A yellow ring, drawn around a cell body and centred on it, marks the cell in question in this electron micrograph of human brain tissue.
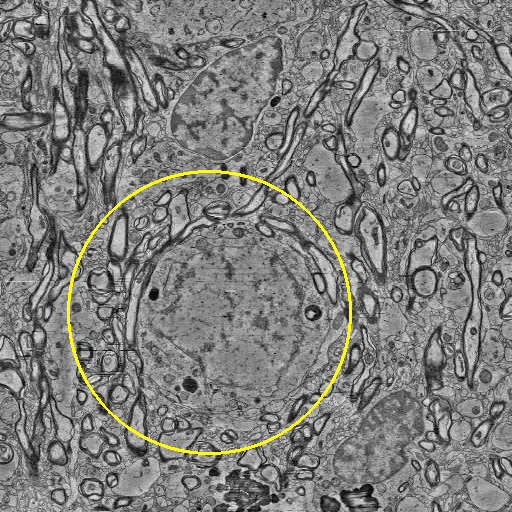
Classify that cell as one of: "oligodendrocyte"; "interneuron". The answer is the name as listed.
interneuron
